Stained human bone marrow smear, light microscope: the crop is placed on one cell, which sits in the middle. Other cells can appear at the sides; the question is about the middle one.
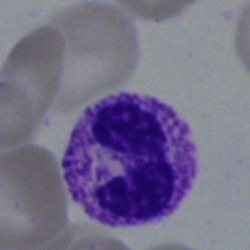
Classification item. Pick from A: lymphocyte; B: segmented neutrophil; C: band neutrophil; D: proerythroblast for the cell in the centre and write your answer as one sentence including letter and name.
Option C is correct in that the central cell is a band neutrophil.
